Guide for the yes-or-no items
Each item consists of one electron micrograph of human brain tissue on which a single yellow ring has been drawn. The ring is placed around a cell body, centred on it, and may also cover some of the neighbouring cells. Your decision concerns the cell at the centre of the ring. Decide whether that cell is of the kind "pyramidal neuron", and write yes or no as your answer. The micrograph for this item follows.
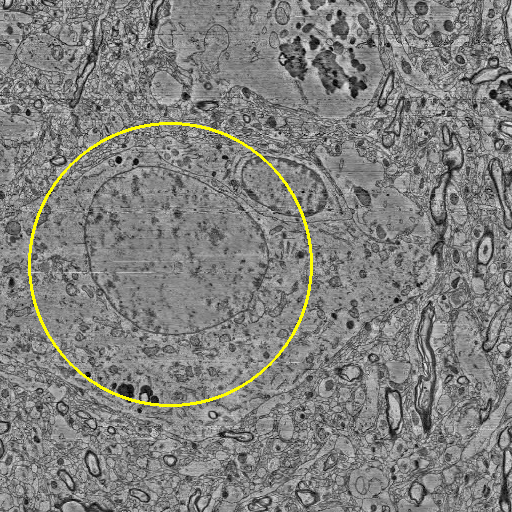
yes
